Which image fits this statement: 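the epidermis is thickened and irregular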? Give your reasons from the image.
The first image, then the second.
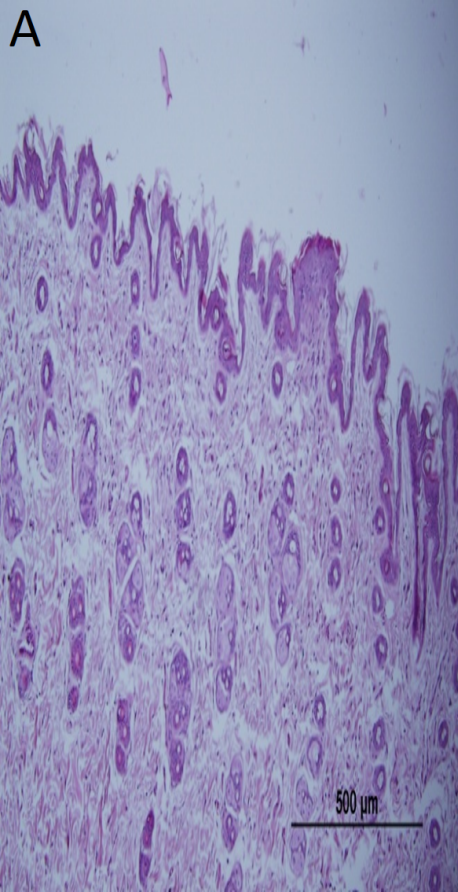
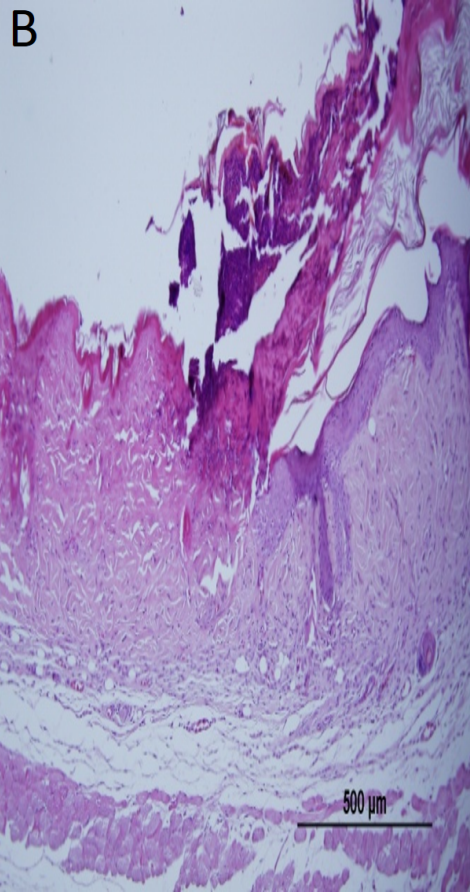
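Second image: a broad, uneven epidermis covered by a dense crust.
Hence: the second image.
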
